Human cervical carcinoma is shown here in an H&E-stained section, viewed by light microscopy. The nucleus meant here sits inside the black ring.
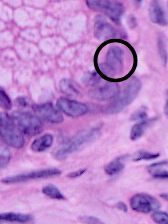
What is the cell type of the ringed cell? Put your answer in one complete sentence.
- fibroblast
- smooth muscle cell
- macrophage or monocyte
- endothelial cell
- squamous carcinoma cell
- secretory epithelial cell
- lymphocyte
Speaking plainly, the ringed cell is nothing other than a secretory epithelial cell.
